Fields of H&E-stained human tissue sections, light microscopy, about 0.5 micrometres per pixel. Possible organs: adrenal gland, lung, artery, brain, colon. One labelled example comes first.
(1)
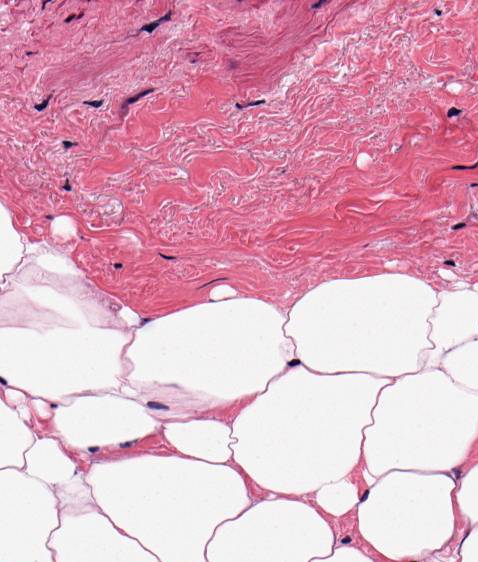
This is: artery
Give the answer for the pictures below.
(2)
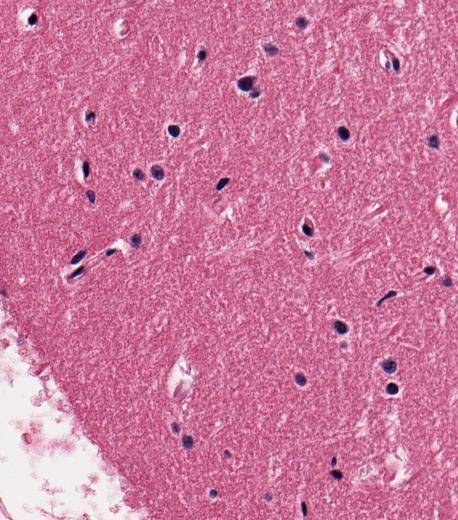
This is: brain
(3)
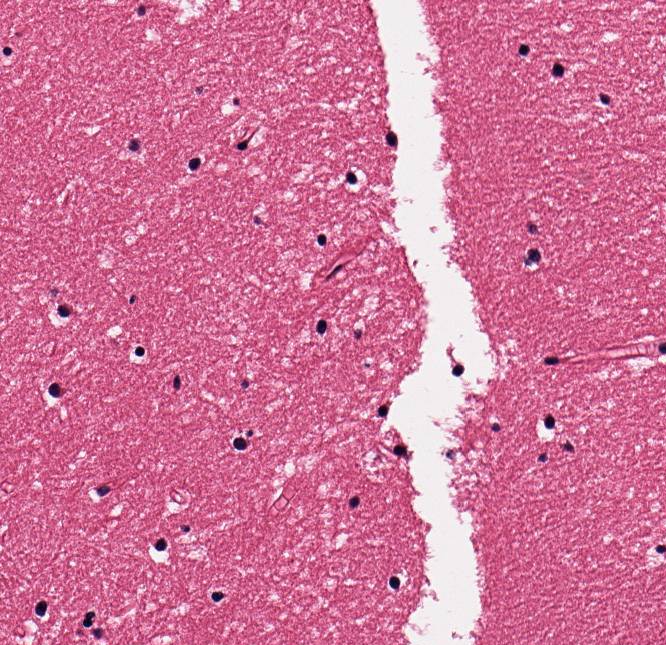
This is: brain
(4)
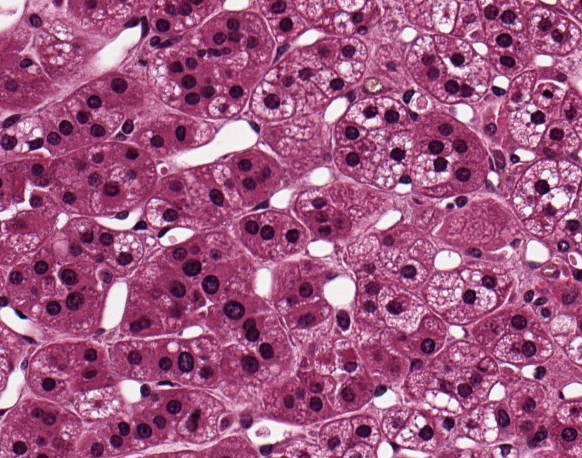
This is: adrenal gland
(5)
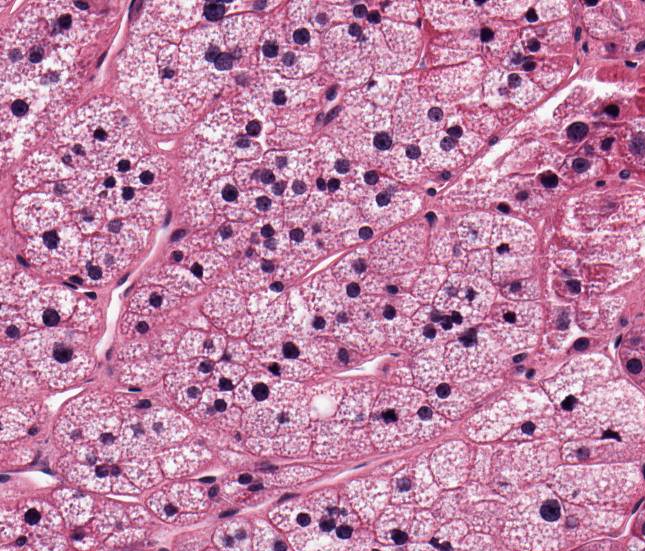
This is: adrenal gland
